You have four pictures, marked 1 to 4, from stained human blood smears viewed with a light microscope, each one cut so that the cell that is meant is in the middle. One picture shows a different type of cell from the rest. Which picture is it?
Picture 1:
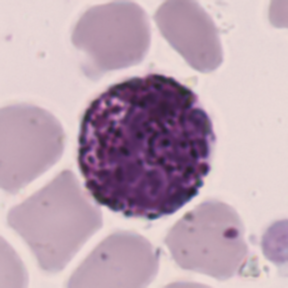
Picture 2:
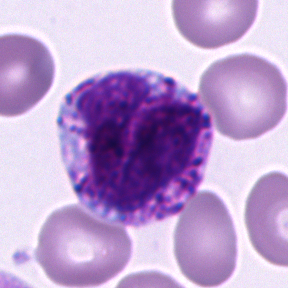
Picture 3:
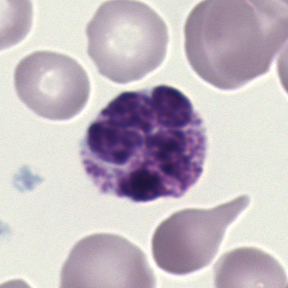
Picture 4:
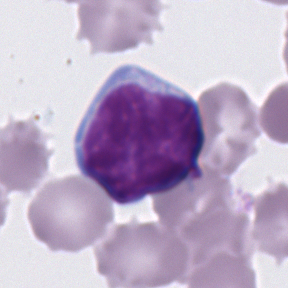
4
